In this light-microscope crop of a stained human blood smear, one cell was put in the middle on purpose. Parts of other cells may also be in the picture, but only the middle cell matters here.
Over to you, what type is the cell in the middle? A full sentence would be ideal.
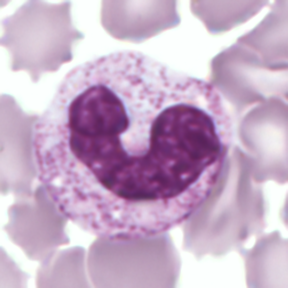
Framed in the middle of the crop is a band neutrophil.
